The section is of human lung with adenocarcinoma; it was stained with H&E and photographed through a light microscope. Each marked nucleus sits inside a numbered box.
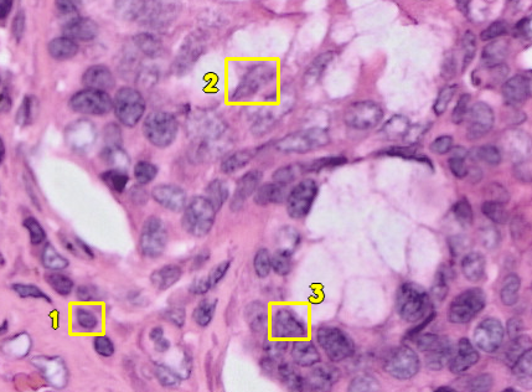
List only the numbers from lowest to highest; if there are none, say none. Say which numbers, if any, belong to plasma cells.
1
